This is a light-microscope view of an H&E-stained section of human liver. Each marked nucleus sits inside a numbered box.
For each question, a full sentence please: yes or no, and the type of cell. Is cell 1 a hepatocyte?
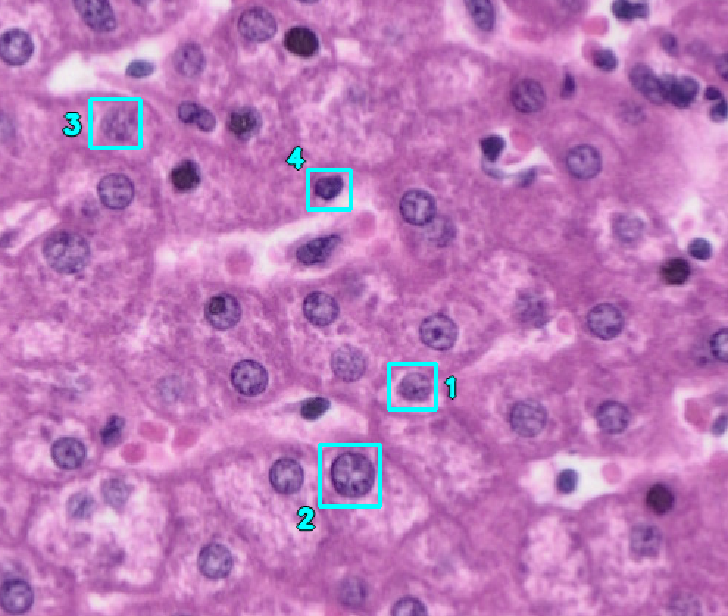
Yes, the nucleus numbered 1 belongs to a hepatocyte.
